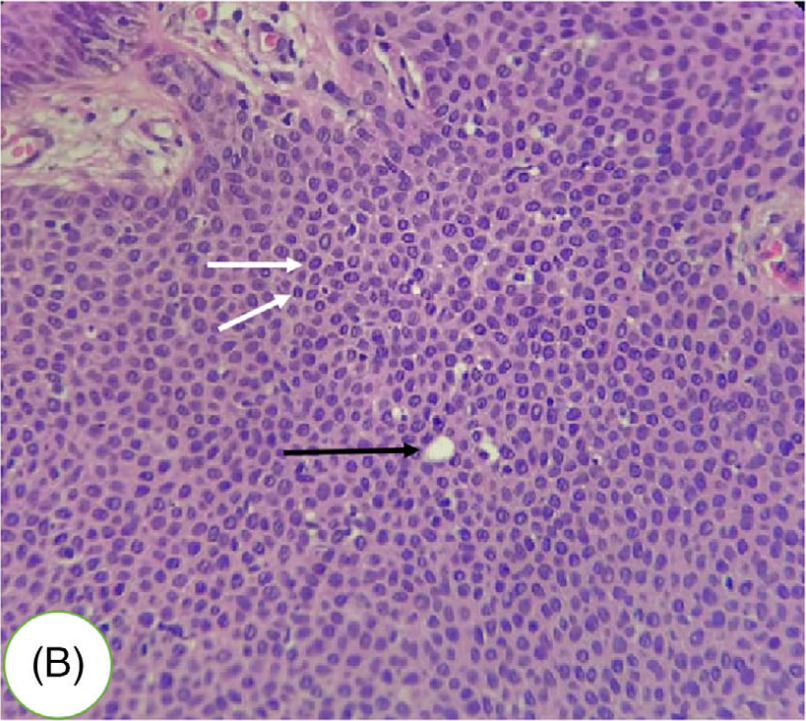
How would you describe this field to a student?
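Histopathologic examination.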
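The view shows a sheet of small, uniform cuboidal basaloid cells packed closely together. Their nuclei are round to oval, evenly spaced and darkly purple, and each cell has a narrow rim of pale pink cytoplasm. There is little variation in nuclear size. Scattered within the sheet are small round clear spaces, one especially distinct near the centre, representing tiny duct-like lumina. At the upper left and right edges, thin strands of pink fibrous stroma carry small blood vessels containing red cells.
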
